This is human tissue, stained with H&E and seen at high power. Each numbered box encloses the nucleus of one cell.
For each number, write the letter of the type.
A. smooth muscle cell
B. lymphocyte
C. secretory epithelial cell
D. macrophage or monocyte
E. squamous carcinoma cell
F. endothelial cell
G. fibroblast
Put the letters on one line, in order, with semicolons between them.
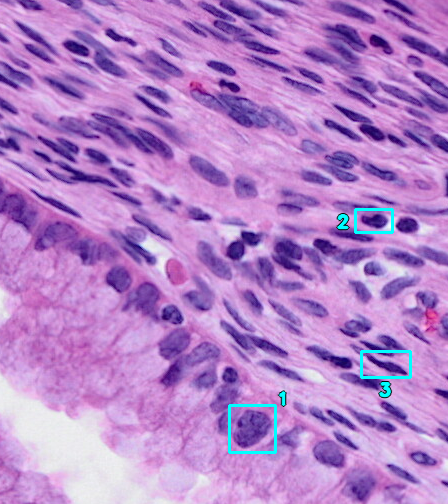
C; B; G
